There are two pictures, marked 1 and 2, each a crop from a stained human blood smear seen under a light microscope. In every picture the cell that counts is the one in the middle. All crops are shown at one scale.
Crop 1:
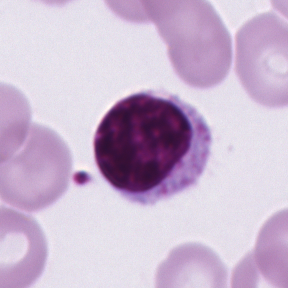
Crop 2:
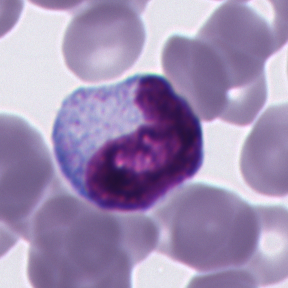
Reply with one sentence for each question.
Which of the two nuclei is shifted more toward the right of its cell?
It is the nucleus in crop 2 that lies further toward the right of its cell.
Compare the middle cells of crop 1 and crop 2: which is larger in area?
Larger is the cell in crop 2, at roughly 1.5 times the area of the other.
